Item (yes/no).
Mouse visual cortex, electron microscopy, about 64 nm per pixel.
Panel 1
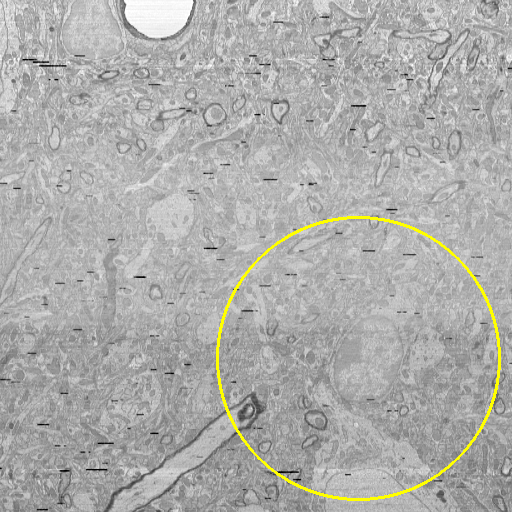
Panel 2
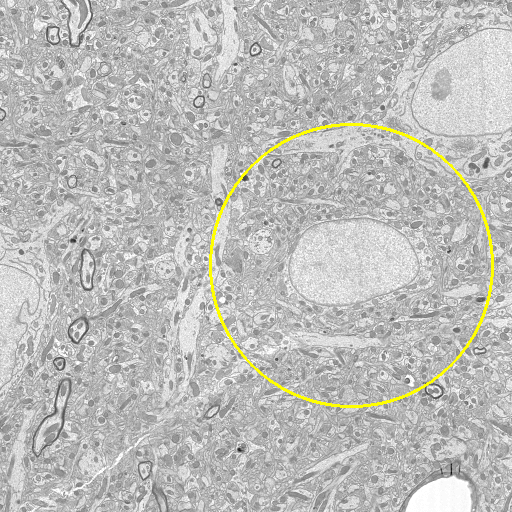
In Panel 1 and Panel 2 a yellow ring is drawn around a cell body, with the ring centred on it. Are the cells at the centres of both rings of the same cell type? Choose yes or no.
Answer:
no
